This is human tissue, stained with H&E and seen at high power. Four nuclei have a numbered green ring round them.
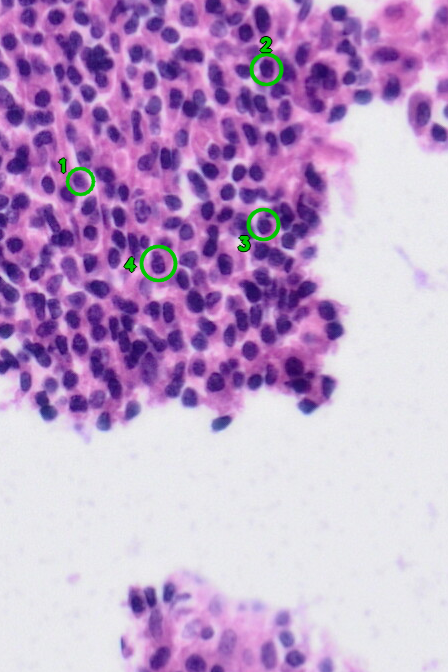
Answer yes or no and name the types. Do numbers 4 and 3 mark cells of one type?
No, that's wrong; cell 4 is a plasma cell and cell 3 is a small lymphocyte.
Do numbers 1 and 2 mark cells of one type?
Yes, the two numbered cells, 1 and 2, are both plasma cells.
